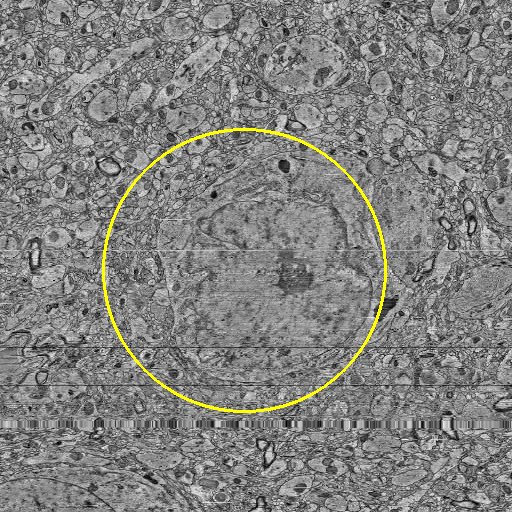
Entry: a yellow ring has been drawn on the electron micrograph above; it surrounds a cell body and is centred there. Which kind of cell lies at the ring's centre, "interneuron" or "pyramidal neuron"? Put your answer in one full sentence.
The cell sitting at the ring's centre is an interneuron in the micrograph above.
